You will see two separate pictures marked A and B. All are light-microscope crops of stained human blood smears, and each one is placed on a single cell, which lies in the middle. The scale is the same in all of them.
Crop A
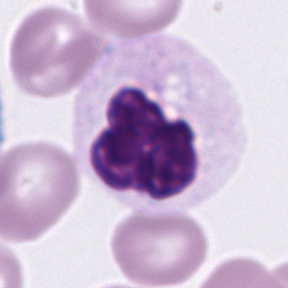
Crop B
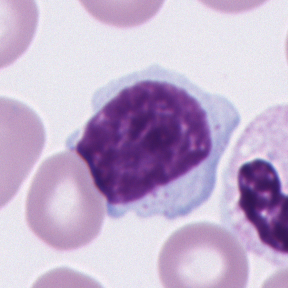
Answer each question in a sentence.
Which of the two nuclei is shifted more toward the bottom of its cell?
The nucleus in crop A lies further toward the bottom of its cell.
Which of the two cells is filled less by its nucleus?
The nucleus fills less of the cell in crop A than in crop B.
